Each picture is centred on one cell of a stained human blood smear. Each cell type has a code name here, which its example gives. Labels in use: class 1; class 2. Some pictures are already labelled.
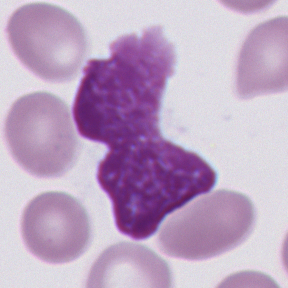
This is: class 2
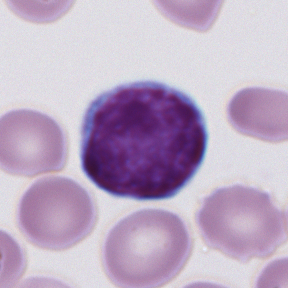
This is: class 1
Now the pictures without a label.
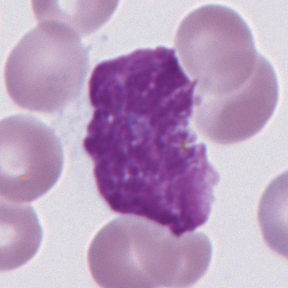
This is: class 2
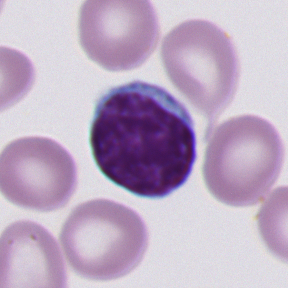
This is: class 1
